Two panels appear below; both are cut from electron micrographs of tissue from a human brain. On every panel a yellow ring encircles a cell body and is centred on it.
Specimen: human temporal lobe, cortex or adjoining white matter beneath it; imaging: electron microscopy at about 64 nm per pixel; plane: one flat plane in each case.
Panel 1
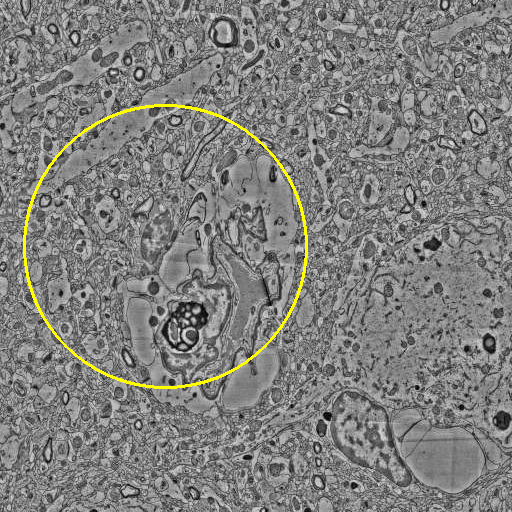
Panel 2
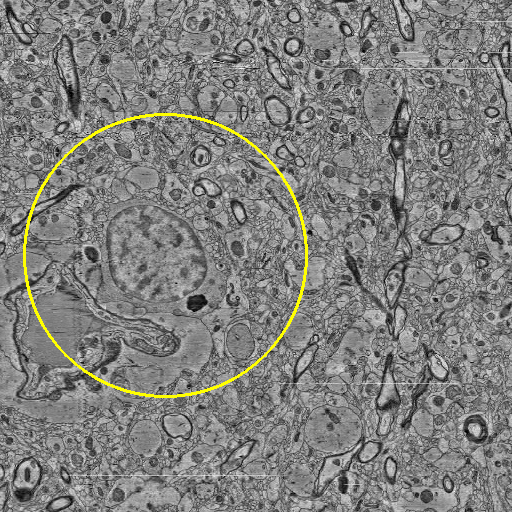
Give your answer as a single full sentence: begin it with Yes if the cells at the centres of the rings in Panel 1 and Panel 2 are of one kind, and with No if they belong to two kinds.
Yes, the cells in the middle of the rings in Panels 1 and 2 are of one kind.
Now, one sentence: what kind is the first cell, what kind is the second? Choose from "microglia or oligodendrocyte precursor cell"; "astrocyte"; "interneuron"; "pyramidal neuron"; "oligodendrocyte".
In each picture the ringed cell is an oligodendrocyte.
